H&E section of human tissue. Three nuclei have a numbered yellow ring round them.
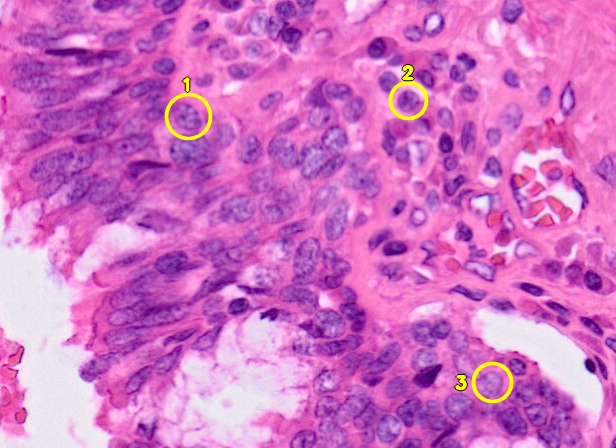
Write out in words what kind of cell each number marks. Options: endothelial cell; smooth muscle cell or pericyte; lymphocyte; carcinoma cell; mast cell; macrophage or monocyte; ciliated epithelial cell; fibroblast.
Cells 1 and 3 are ciliated epithelial cells. Cell 2 is a lymphocyte.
